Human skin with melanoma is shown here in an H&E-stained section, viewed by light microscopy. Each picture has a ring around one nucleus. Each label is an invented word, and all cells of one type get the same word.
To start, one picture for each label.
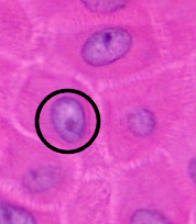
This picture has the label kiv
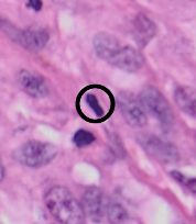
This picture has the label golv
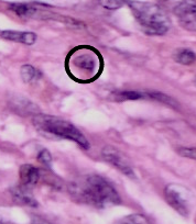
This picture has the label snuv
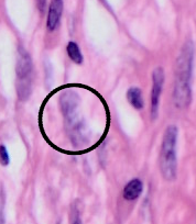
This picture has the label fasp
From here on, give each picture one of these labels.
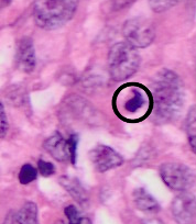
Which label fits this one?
golv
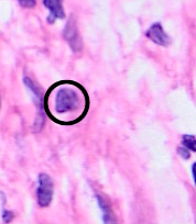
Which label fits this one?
golv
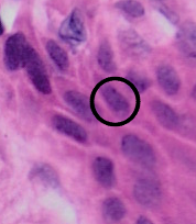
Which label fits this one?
kiv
